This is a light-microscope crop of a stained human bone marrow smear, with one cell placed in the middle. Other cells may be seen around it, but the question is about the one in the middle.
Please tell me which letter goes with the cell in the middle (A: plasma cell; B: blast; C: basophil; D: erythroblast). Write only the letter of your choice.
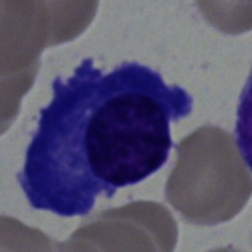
A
